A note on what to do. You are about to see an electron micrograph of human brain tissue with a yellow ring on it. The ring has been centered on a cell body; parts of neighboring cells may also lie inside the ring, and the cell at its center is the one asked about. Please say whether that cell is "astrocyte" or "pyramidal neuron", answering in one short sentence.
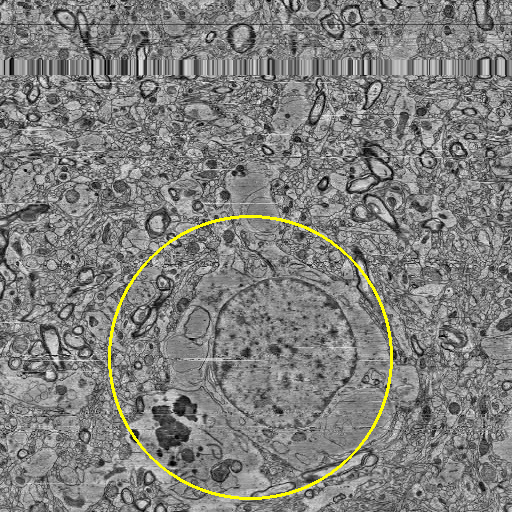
The yellow ring sits on an astrocyte.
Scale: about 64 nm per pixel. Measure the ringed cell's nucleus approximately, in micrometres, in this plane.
In this plane the nucleus measures roughly 10 micrometres across.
